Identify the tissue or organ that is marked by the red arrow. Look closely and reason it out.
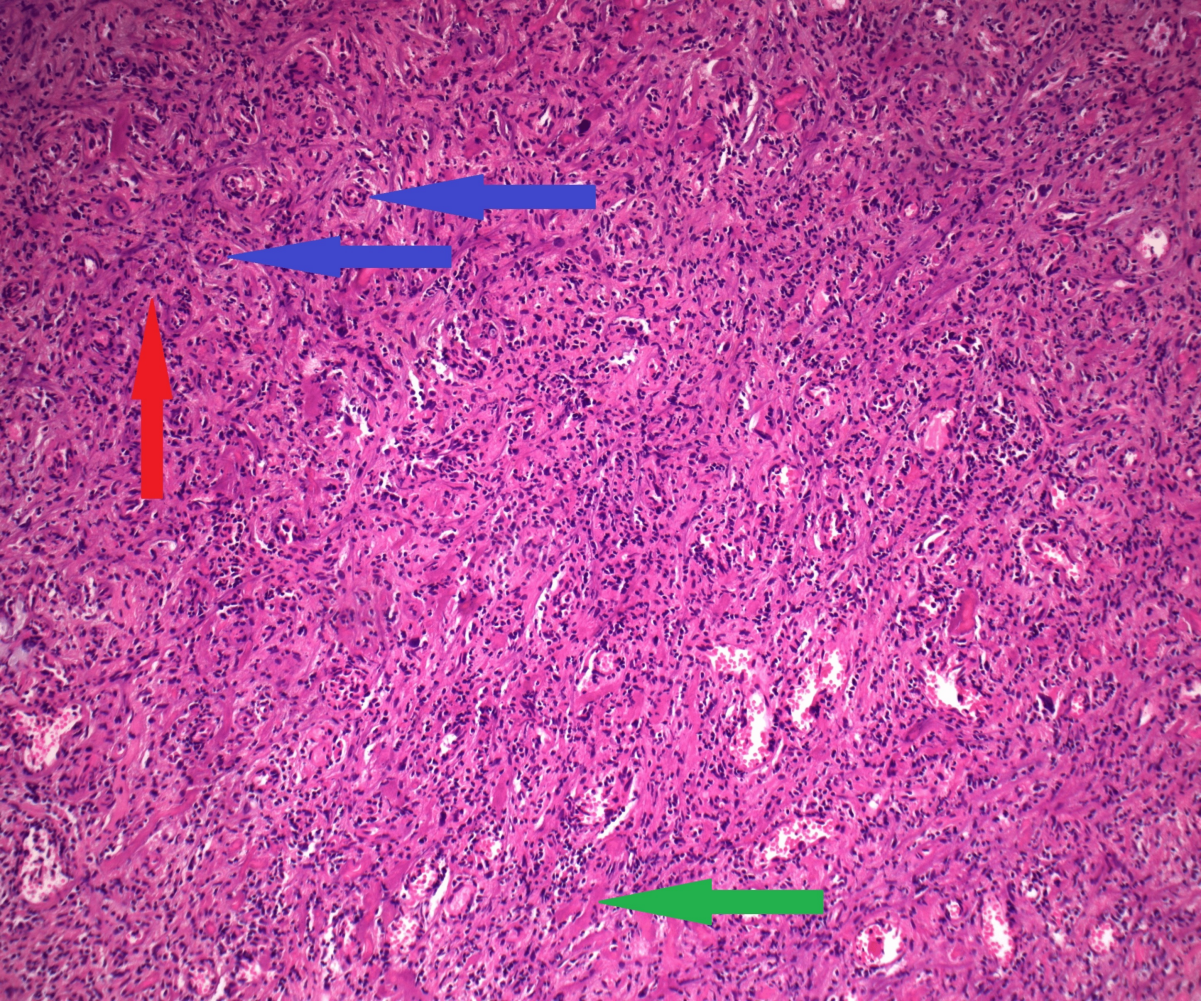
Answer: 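Cellular pink stroma crowded with many small vessels. Numerous scattered dark nuclei of plump spindle and round cells between the vessels. The answer: granulation tissue.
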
